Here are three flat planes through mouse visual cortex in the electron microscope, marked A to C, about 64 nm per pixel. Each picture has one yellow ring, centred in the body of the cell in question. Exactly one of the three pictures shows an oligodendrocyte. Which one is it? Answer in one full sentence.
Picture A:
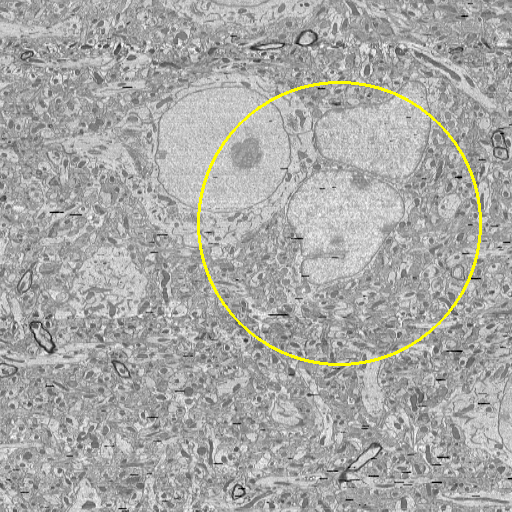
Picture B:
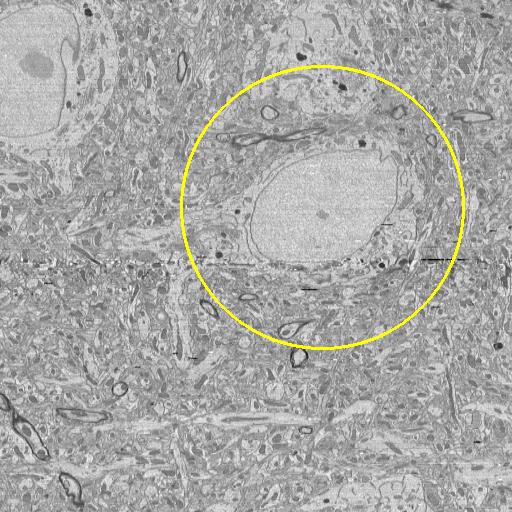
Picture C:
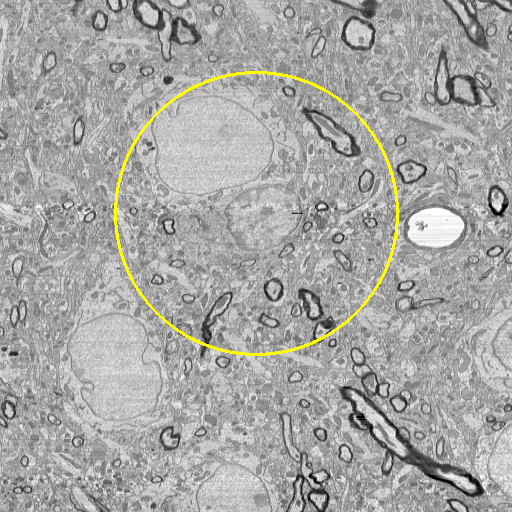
The oligodendrocyte is the one in picture C.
